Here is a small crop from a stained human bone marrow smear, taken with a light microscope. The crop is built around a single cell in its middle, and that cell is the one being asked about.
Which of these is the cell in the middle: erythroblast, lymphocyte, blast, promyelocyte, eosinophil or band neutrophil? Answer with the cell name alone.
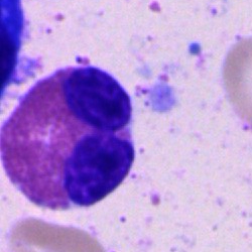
eosinophil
